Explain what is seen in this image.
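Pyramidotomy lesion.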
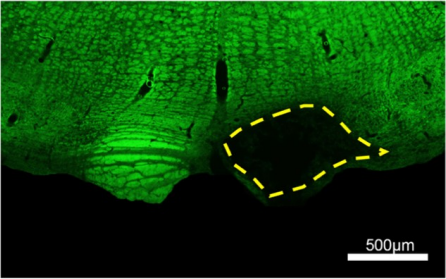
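The left pyramid is a bright, dense green bundle crossed by fine dark seams. The right pyramid, outlined with a dashed line, is nearly dark, having lost the green. Above the pyramids the tissue has a mesh-like green pattern with scattered dark vessel profiles.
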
